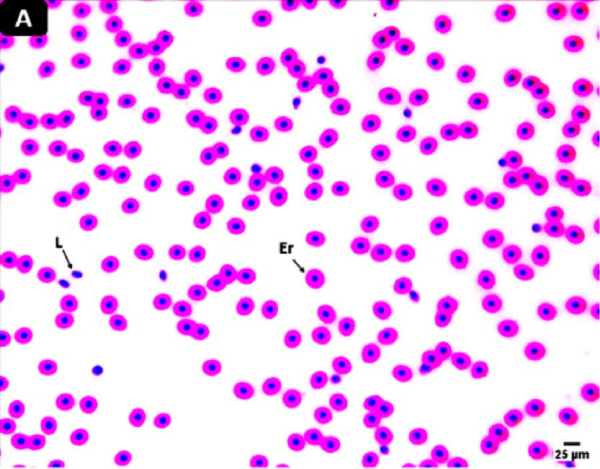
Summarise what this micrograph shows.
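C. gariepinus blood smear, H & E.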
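The erythrocytes are regular oval cells of similar size, with evenly stained pink cytoplasm and a single compact, dark purple nucleus lying centrally. Their outlines are smooth and they lie mostly singly, with some touching in small groups. Among them lie smaller, darkly staining bluish-purple cells with little visible cytoplasm, consistent with leucocytes. No pale, ruptured or markedly misshapen red cells stand out, so the picture is of normal circulating erythrocytes.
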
